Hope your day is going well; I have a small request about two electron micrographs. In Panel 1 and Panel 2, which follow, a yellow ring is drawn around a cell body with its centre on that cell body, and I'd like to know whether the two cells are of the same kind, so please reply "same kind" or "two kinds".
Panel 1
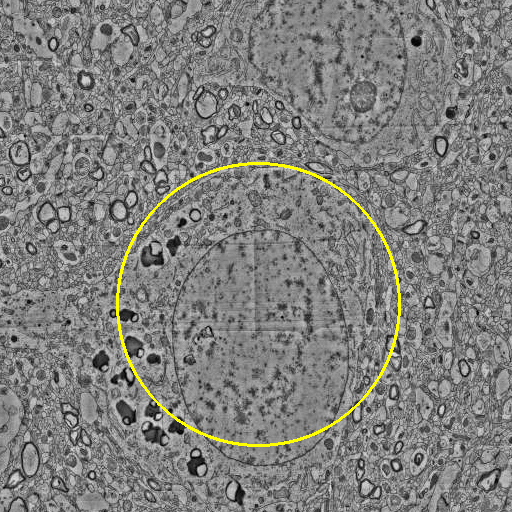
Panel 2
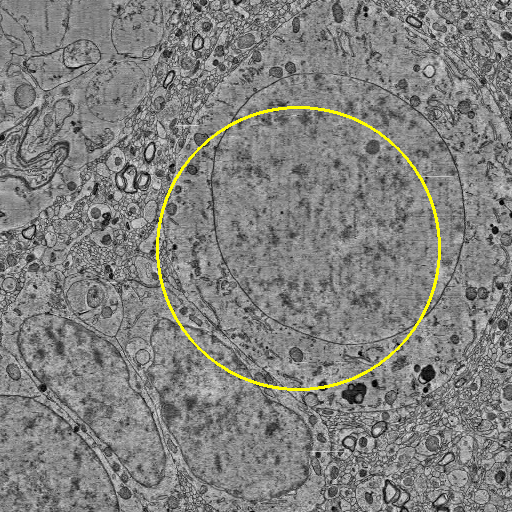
same kind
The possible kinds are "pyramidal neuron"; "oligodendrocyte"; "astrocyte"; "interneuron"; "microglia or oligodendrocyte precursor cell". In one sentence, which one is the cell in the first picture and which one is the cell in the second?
Each of the two rings is centred on a pyramidal neuron.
